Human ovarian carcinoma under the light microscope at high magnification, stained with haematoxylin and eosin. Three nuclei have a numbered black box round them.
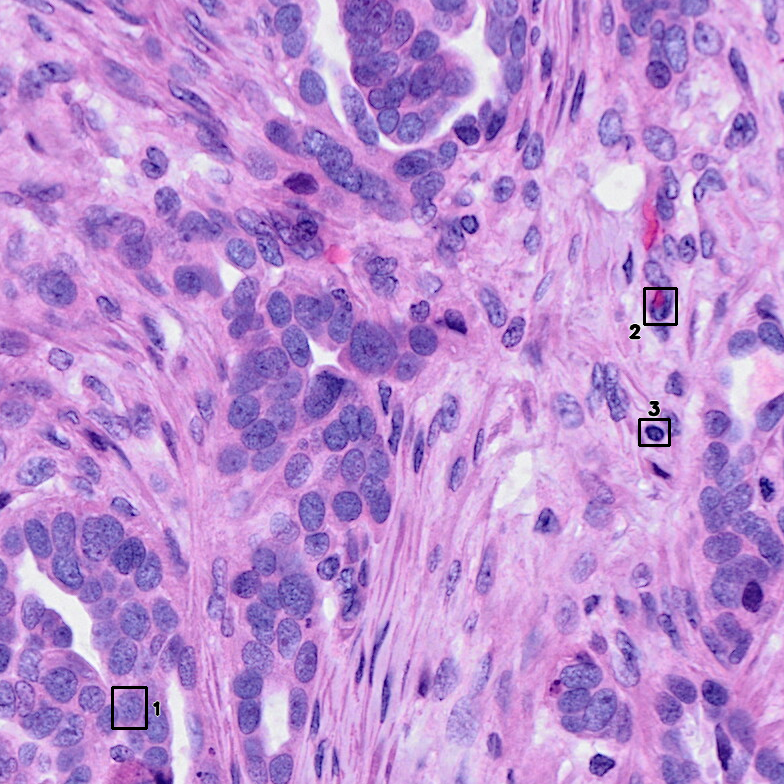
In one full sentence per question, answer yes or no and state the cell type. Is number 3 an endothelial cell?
No, the cell under number 3 is a lymphocyte, not an endothelial cell.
